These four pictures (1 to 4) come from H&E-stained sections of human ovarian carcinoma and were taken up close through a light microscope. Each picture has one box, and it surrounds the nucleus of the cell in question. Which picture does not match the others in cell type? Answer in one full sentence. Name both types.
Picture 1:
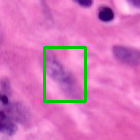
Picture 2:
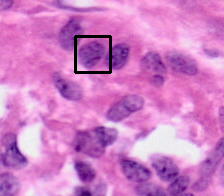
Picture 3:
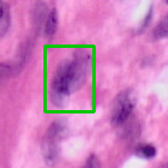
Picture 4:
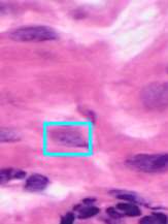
All pictures except 2 show fibroblasts; picture 2 shows a carcinoma cell.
